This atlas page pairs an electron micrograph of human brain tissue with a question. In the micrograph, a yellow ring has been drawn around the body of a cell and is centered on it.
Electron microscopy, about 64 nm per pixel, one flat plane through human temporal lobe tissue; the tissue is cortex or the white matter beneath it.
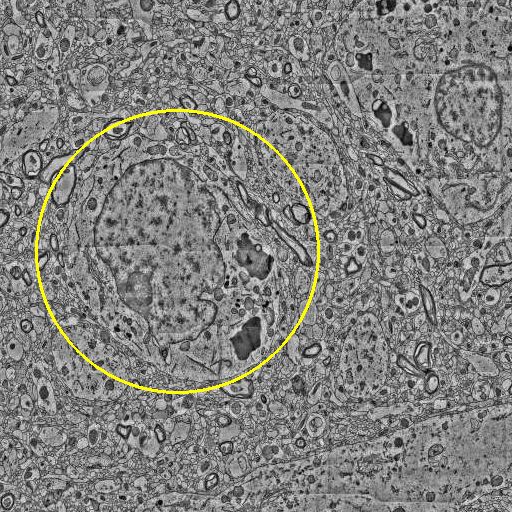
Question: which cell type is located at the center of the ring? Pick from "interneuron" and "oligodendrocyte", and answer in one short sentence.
Located at the center of the ring is an interneuron.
